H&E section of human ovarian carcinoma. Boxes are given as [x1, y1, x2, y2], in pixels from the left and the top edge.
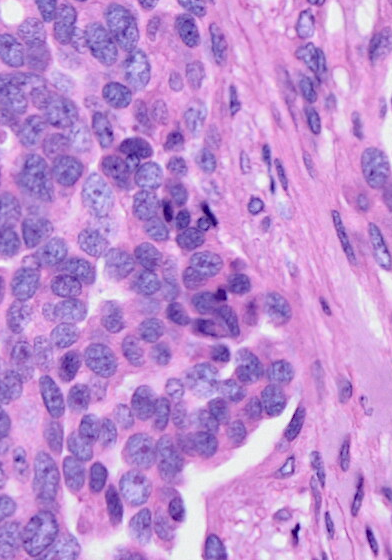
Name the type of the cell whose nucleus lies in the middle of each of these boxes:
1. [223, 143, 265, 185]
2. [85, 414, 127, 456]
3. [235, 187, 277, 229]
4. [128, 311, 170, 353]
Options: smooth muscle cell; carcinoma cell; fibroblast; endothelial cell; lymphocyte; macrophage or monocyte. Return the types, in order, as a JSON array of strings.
["fibroblast", "carcinoma cell", "fibroblast", "carcinoma cell"]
